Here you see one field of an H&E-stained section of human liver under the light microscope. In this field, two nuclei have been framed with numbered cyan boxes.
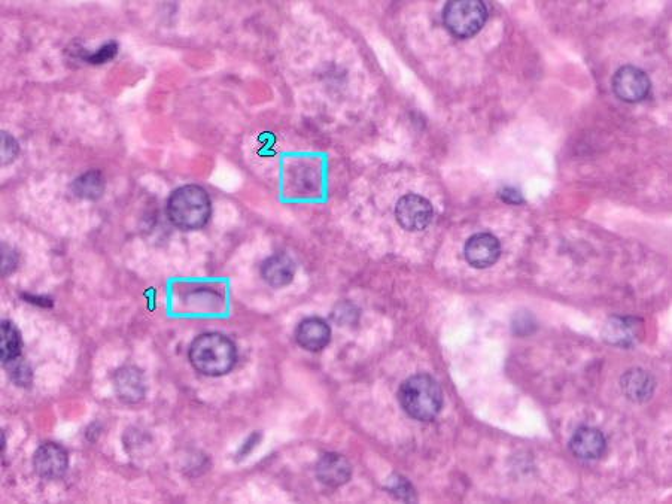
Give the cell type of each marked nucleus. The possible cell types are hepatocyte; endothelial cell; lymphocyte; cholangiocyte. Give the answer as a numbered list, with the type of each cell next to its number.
1. endothelial cell
2. hepatocyte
